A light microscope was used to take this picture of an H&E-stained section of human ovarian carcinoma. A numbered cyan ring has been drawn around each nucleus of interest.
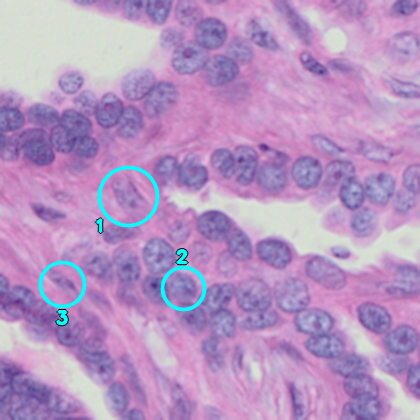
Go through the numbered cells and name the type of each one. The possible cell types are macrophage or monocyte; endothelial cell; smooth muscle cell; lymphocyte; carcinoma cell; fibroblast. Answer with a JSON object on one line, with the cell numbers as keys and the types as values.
{"1": "fibroblast", "2": "carcinoma cell", "3": "fibroblast"}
